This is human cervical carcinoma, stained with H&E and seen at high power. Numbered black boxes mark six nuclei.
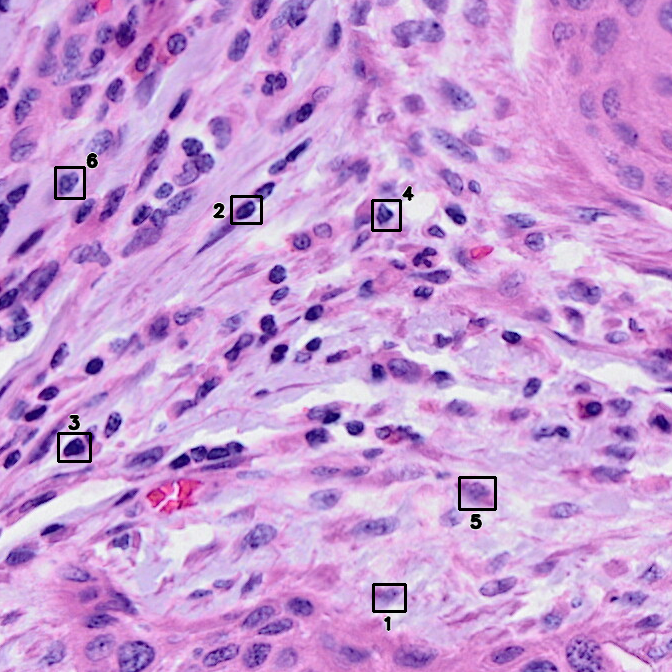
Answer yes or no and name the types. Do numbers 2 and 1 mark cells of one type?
No, cell 2 is a lymphocyte and cell 1 is a fibroblast.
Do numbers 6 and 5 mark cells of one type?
No, cell 6 is a lymphocyte and cell 5 is a fibroblast.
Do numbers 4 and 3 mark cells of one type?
Yes, both are lymphocytes.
